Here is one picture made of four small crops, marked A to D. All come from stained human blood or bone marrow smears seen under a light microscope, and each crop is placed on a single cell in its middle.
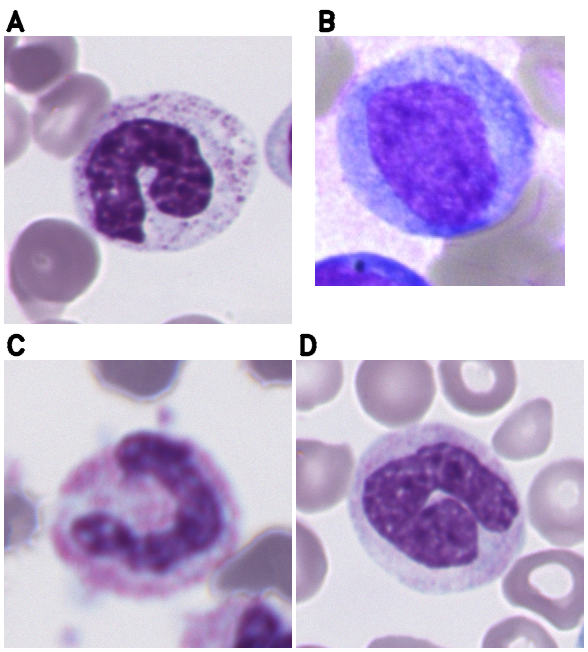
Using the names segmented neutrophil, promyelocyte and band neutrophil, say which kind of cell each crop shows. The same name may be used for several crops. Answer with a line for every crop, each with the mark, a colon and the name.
A: band neutrophil
B: promyelocyte
C: segmented neutrophil
D: band neutrophil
